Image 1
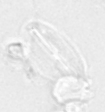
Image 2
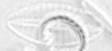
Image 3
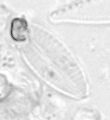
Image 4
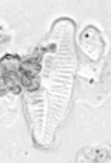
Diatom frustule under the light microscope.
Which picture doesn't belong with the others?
Picture 4.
